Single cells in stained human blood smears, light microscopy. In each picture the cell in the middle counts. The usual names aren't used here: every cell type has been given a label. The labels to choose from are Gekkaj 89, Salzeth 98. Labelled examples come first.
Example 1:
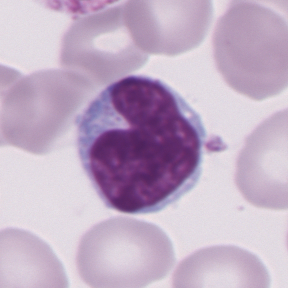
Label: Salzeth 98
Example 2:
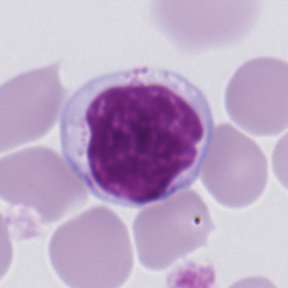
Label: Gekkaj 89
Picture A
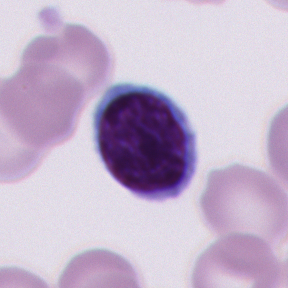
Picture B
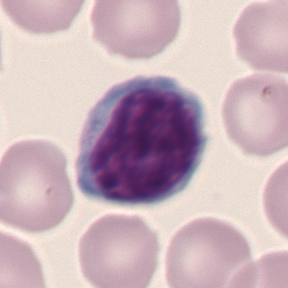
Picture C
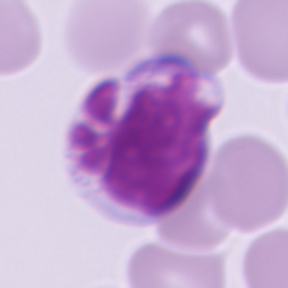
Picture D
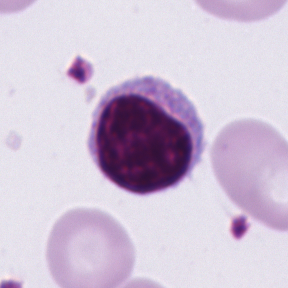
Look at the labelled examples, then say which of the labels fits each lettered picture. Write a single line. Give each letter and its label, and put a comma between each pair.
A Salzeth 98, B Salzeth 98, C Gekkaj 89, D Salzeth 98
